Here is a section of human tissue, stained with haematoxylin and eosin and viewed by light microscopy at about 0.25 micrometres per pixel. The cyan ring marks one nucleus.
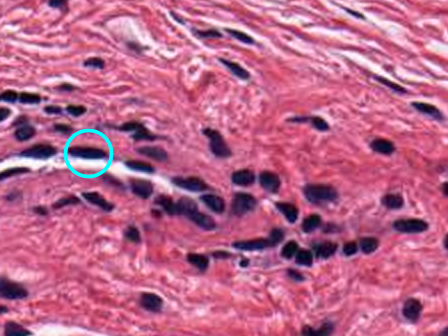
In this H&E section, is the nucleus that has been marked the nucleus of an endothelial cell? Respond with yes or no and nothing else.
yes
